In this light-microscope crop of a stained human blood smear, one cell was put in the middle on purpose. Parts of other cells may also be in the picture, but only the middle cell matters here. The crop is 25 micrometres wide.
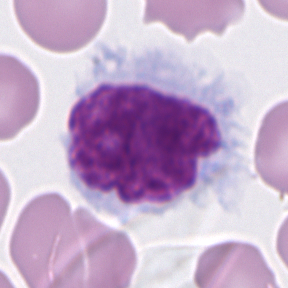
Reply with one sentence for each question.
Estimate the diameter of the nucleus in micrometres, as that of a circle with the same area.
The diameter of the nucleus comes to about 11 micrometres.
